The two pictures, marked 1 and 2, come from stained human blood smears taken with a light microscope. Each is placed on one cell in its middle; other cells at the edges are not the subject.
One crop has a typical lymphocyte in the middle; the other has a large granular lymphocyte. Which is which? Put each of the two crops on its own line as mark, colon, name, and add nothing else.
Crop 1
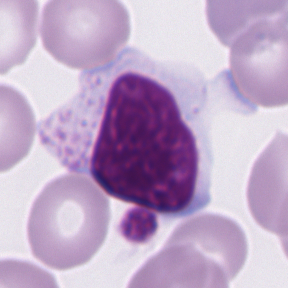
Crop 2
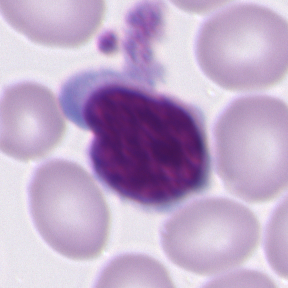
1: large granular lymphocyte
2: typical lymphocyte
